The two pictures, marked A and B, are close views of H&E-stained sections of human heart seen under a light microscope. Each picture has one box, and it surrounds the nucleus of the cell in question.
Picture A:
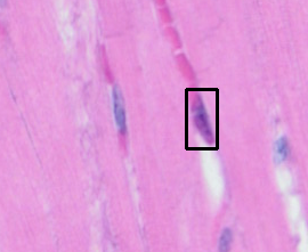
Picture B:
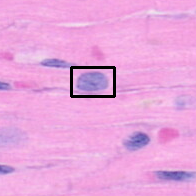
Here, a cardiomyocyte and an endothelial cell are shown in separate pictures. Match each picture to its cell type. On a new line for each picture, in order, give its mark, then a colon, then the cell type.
A: endothelial cell
B: cardiomyocyte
